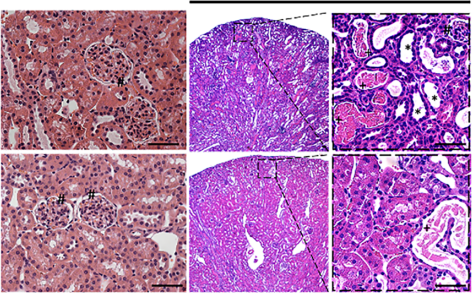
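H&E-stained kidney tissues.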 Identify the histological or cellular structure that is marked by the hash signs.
Glomeruli.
